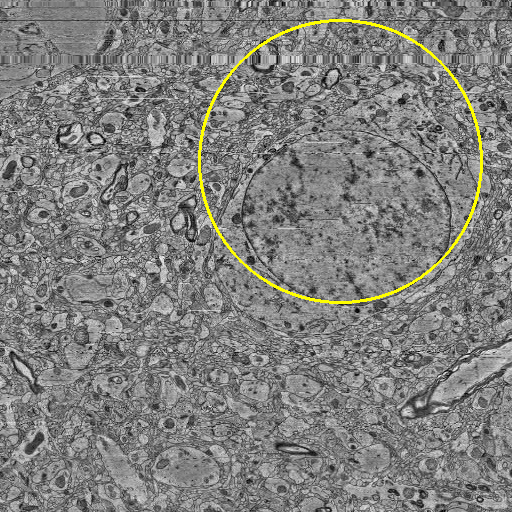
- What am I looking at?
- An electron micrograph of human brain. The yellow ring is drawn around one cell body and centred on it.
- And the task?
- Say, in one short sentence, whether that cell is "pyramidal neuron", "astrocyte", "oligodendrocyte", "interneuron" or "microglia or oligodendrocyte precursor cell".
The cell in the middle of the ring is a pyramidal neuron.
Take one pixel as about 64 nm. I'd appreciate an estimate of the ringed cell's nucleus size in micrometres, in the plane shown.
In this plane the nucleus measures roughly 13 by 11 micrometres.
